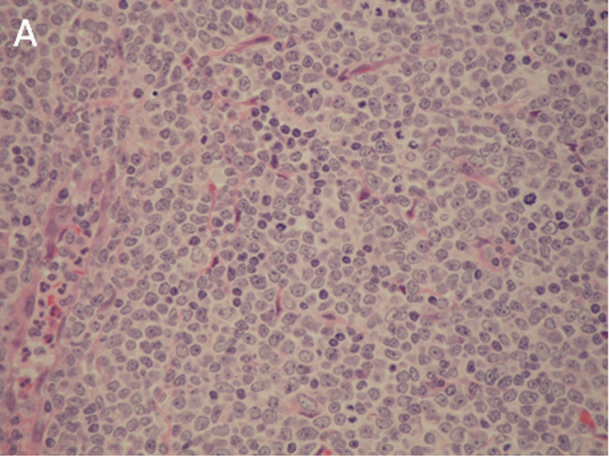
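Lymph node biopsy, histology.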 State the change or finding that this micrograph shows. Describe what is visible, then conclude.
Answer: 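Diffuse infiltrates of medium-sized lymphoid cells. A sheet of densely packed, fairly uniform round cells fills the field without nodular arrangement. The cells have round to oval nuclei of intermediate size with finely dispersed chromatin. Only thin strands of pink stroma and small vessels run between the cells.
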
